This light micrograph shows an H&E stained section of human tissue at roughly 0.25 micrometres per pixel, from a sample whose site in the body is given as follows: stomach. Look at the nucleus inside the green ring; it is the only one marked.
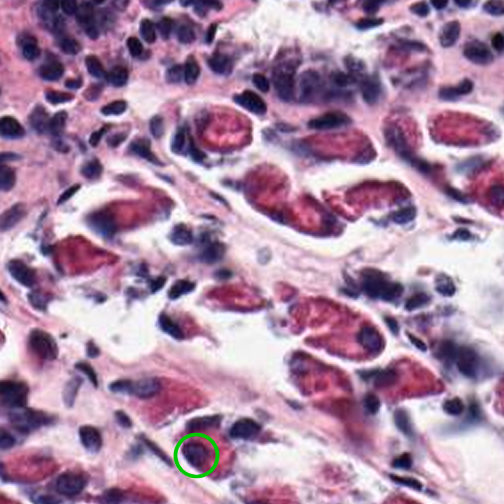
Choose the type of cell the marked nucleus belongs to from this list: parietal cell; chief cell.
parietal cell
